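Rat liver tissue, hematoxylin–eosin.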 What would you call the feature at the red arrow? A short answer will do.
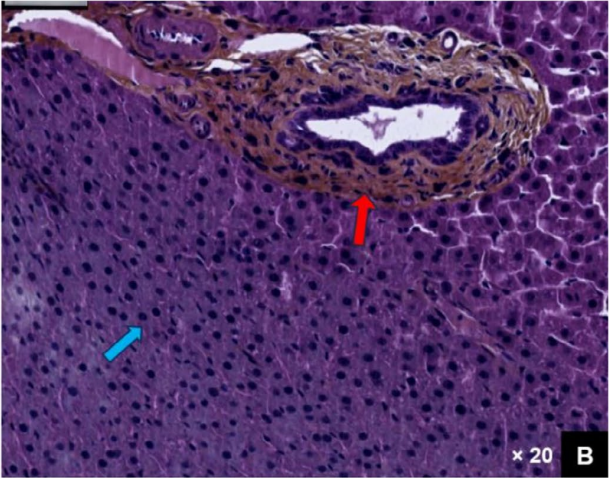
a portal structure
